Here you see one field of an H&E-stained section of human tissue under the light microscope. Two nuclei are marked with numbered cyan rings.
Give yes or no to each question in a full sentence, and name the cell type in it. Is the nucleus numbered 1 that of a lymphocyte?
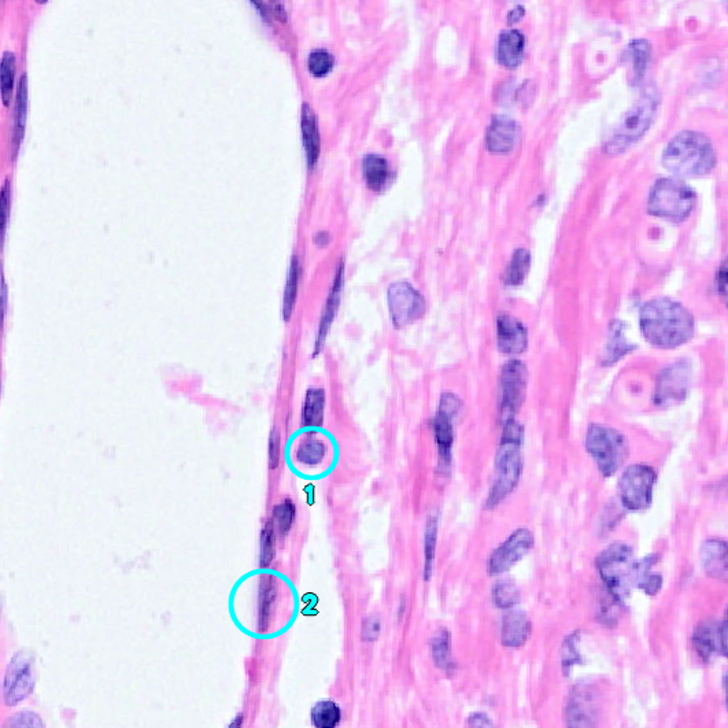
Yes, correct, the cell with the number 1 is a lymphocyte.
